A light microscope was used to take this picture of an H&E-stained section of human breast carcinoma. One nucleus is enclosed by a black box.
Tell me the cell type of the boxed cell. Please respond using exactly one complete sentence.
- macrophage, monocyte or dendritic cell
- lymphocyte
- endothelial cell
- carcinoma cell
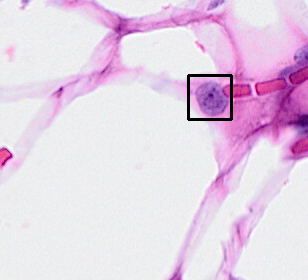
In short, the boxed cell on this section is an endothelial cell.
